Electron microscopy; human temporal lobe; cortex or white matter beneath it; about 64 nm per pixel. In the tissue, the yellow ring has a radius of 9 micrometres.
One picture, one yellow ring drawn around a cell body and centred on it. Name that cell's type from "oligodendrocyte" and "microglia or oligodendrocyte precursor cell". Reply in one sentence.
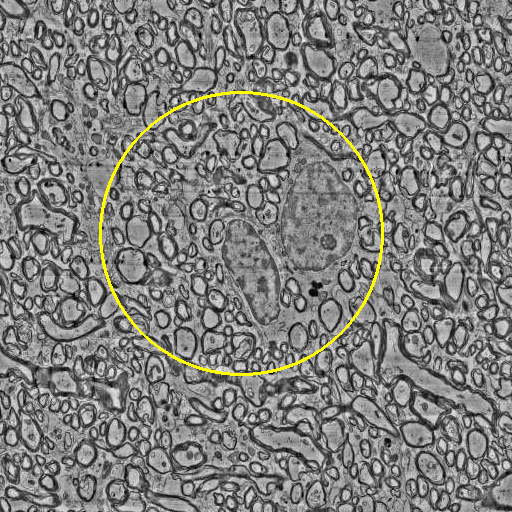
Centred in the ring is a microglial cell or oligodendrocyte precursor cell.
